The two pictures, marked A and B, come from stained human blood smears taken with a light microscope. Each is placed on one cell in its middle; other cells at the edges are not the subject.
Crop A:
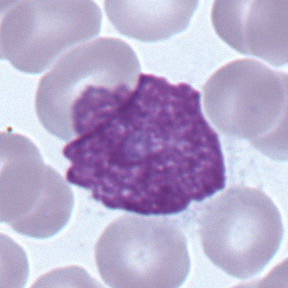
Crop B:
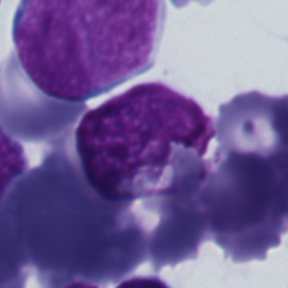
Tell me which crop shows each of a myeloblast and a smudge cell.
A: smudge cell
B: myeloblast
